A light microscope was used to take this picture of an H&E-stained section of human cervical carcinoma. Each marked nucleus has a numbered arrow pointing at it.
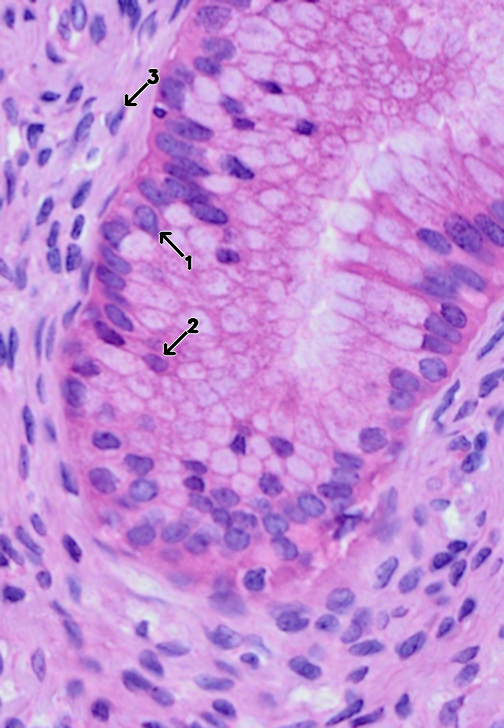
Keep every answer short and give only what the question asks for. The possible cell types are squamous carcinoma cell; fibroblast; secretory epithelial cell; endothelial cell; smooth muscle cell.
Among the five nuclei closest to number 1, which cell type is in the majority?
secretory epithelial cell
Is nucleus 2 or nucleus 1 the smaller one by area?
2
